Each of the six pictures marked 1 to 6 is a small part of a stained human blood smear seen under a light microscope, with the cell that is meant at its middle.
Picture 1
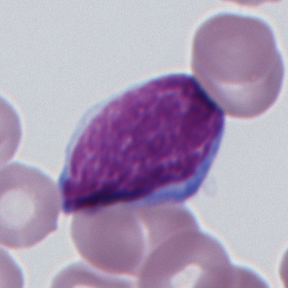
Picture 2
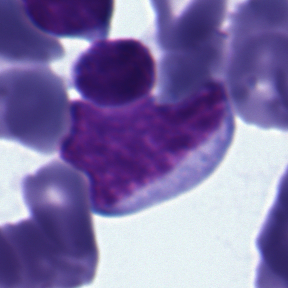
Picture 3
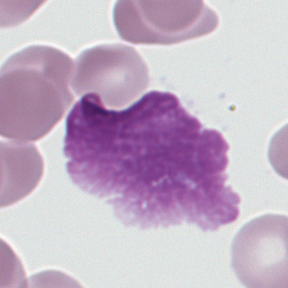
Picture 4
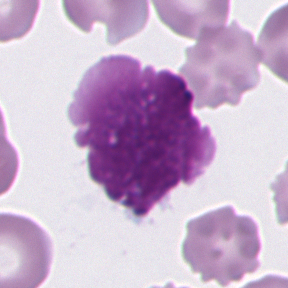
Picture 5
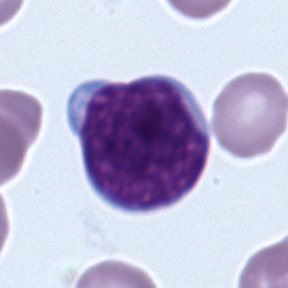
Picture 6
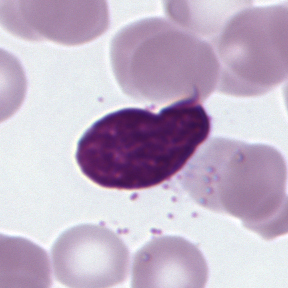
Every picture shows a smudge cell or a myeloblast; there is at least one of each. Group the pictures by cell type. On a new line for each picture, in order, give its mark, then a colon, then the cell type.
1: myeloblast
2: myeloblast
3: smudge cell
4: smudge cell
5: myeloblast
6: smudge cell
